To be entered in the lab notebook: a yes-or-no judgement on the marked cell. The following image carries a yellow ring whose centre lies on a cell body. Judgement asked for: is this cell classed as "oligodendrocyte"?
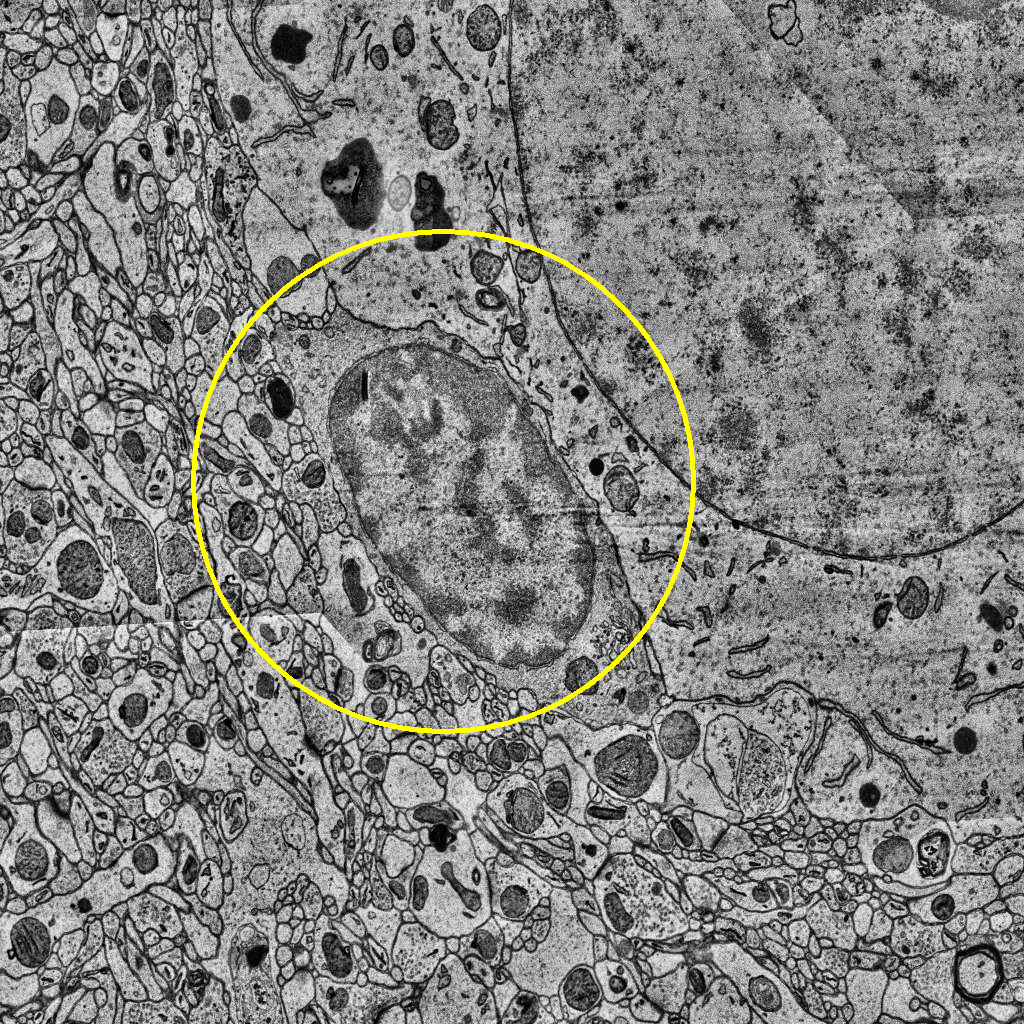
Yes, it is classed that way.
